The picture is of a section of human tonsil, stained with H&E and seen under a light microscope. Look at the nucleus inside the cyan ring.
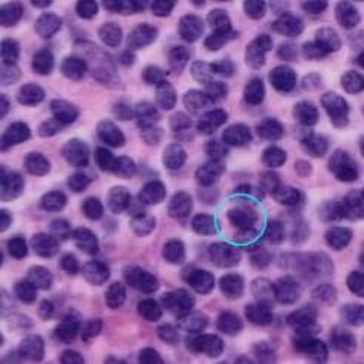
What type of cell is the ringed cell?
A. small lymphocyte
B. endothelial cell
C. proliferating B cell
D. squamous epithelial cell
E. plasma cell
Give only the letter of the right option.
A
